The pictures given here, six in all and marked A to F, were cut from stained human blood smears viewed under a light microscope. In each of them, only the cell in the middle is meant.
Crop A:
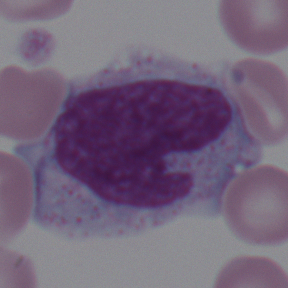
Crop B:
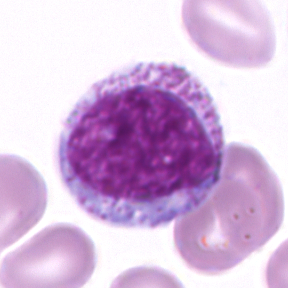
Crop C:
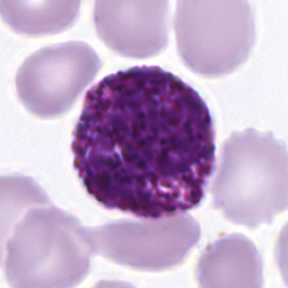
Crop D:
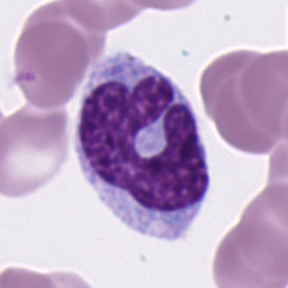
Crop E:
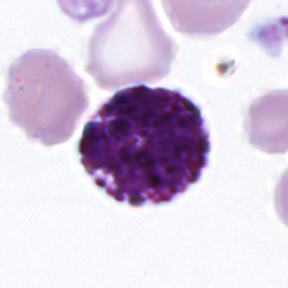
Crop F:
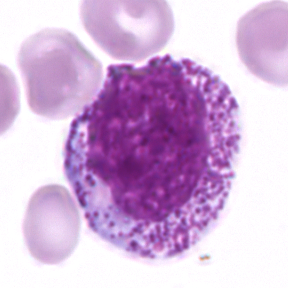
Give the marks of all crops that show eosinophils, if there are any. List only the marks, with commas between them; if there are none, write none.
none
